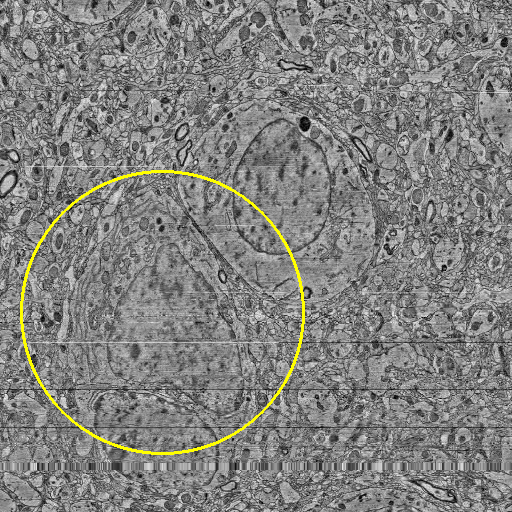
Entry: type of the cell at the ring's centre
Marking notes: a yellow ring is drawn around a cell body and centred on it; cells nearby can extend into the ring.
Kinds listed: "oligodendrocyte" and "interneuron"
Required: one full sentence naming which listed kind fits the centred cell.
My entry names an interneuron as the cell whose body the yellow ring centres on.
